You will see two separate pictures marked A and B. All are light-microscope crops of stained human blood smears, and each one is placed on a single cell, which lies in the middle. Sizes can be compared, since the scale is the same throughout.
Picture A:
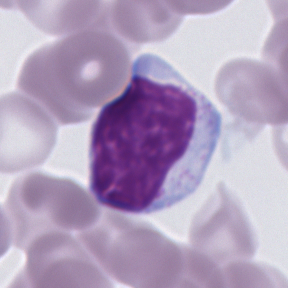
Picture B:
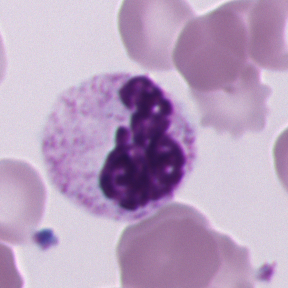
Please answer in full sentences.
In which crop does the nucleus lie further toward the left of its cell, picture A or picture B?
It is the nucleus in picture A that lies further toward the left of its cell.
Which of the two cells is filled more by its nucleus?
Of the two, the nucleus in picture A makes up the greater part of its cell.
